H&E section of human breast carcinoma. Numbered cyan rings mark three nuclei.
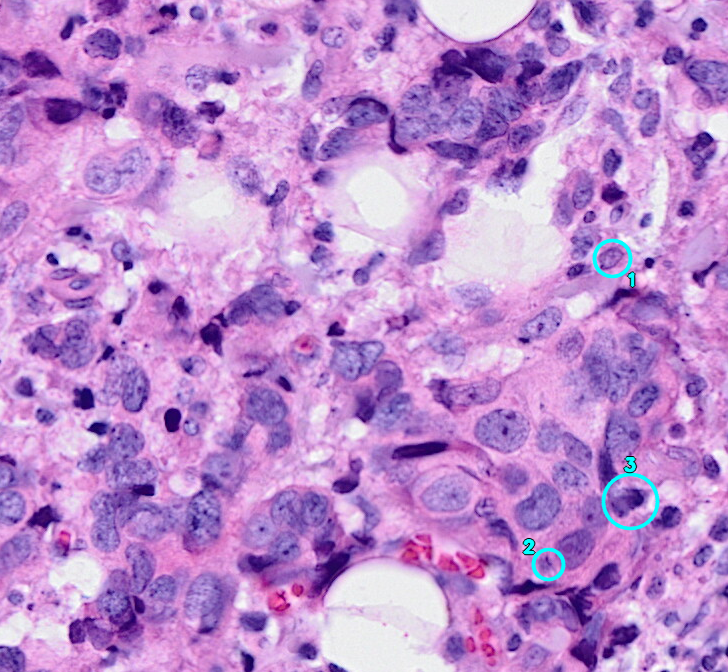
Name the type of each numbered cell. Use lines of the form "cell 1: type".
cell 1: macrophage, monocyte or dendritic cell
cell 2: carcinoma cell
cell 3: carcinoma cell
